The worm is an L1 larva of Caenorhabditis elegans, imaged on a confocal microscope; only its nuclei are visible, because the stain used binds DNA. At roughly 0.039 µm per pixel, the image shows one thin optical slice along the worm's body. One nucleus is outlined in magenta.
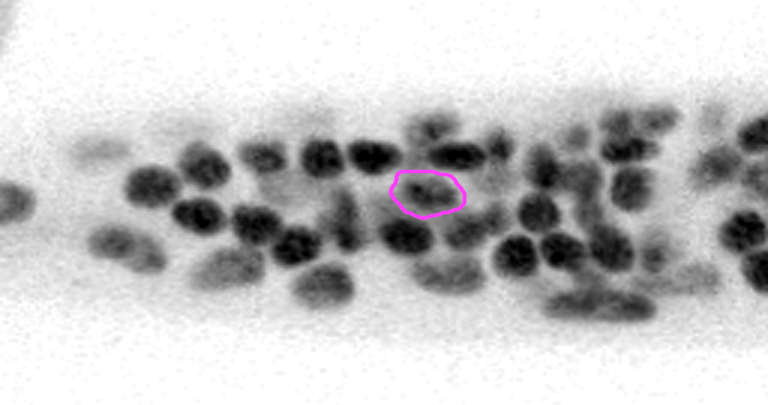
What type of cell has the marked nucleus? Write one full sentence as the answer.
The marked nucleus belongs to a pharyngeal muscle cell.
